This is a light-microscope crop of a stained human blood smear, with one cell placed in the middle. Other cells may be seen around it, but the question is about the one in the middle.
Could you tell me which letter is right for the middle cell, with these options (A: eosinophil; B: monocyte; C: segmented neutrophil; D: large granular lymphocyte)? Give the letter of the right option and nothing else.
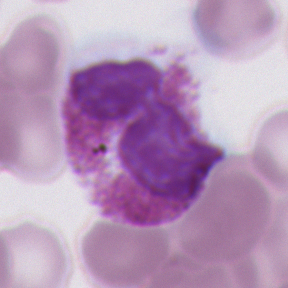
A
